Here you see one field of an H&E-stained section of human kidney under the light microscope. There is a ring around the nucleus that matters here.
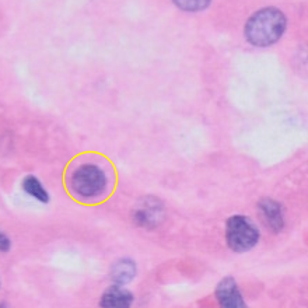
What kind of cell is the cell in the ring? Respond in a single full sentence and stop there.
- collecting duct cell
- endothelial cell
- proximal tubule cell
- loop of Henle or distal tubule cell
Considered by cell type, the cell in the ring is a proximal tubule cell.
